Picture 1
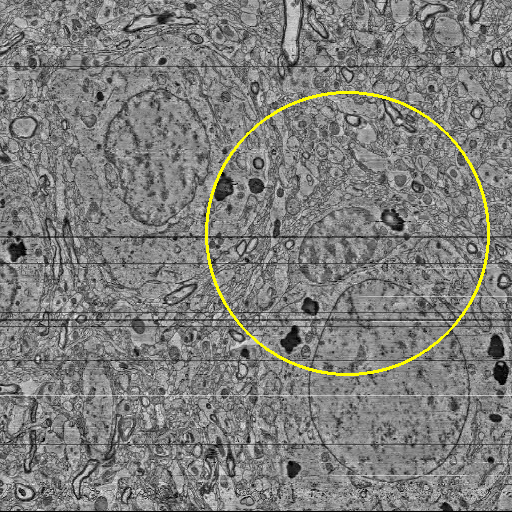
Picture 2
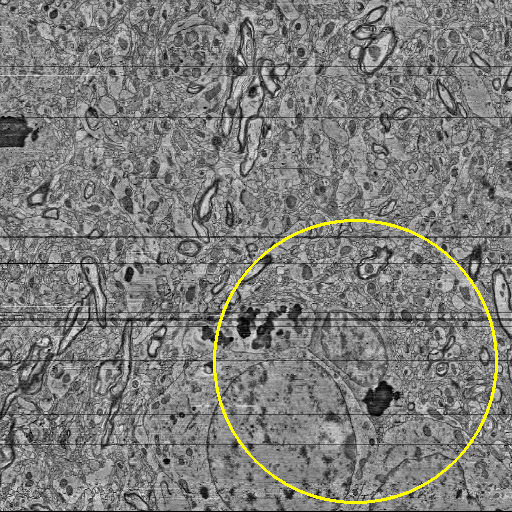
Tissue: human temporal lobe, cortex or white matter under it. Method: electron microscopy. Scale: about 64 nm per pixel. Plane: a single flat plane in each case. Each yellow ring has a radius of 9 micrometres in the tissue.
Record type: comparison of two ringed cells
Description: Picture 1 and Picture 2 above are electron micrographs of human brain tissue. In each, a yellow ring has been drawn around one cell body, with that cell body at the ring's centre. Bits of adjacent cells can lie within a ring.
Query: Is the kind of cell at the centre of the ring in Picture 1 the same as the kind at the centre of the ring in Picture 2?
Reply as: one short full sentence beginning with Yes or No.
Yes, the two ringed cells are of the same kind.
